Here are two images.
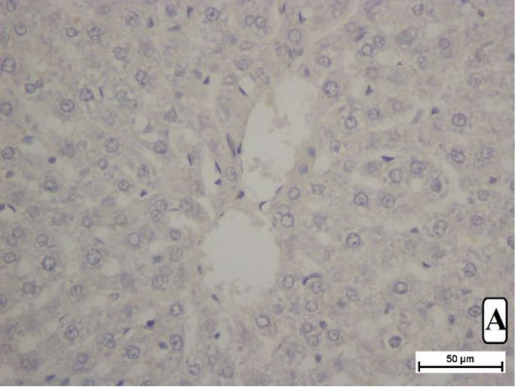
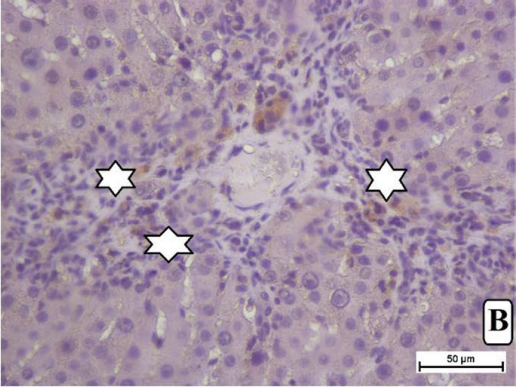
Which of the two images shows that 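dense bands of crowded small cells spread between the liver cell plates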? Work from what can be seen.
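The second image. Second image: bands of tightly packed small dark nuclei fan out from a vessel, with brown granules among them. First image: orderly plates of large pale cells with round nuclei around a vessel, without crowded cell bands or brown stain.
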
